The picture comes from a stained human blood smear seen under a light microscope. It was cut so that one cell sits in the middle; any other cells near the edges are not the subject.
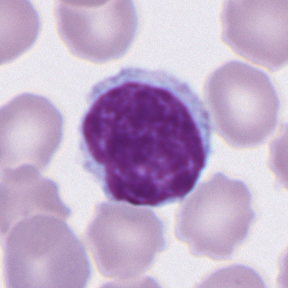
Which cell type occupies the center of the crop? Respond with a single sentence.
The cell at the centre of the field is a typical lymphocyte.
